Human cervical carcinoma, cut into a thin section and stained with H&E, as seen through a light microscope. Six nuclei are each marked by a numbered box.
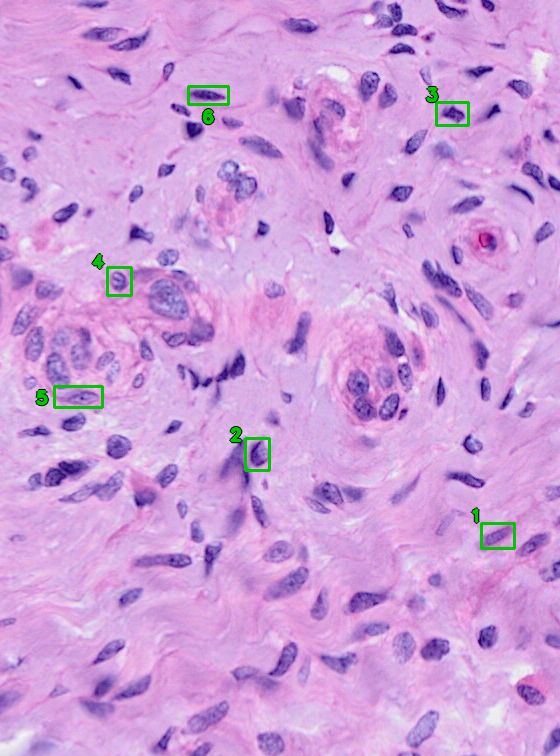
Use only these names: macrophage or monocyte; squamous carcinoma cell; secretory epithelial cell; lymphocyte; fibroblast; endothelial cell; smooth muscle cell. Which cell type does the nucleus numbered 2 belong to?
fibroblast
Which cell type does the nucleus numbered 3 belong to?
fibroblast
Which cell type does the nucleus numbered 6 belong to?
fibroblast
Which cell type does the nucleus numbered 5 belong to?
smooth muscle cell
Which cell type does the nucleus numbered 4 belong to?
smooth muscle cell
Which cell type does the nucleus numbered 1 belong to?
smooth muscle cell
